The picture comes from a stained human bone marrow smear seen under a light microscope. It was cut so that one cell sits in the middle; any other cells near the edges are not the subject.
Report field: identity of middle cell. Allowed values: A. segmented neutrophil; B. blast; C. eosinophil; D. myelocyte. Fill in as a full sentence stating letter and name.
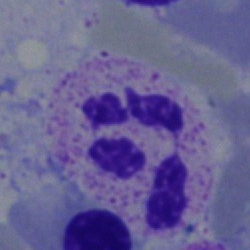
Answer key: option A, the middle cell being a segmented neutrophil.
